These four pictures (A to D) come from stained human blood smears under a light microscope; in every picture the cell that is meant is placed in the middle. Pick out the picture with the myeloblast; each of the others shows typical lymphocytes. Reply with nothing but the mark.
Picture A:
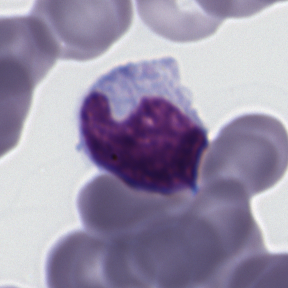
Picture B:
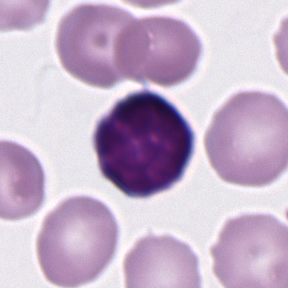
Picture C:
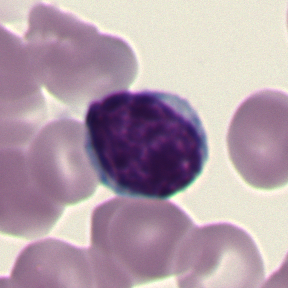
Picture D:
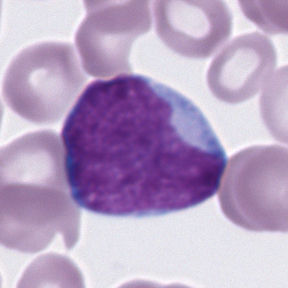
D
